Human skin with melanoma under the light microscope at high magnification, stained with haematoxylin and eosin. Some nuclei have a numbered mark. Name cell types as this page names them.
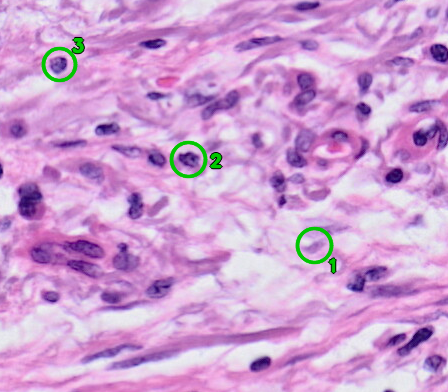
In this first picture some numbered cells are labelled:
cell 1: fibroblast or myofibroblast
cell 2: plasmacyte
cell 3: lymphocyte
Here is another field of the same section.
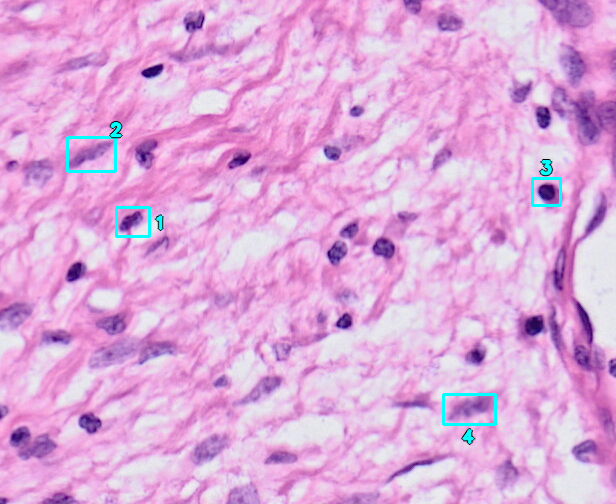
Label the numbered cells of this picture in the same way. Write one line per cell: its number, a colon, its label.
1: lymphocyte
2: fibroblast or myofibroblast
3: plasmacyte
4: fibroblast or myofibroblast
